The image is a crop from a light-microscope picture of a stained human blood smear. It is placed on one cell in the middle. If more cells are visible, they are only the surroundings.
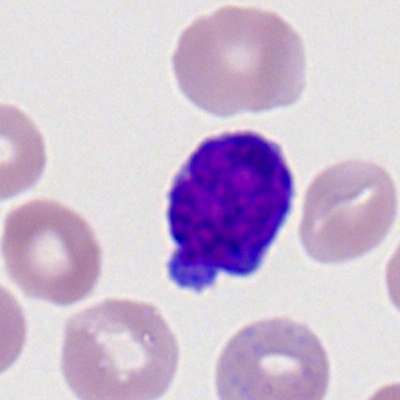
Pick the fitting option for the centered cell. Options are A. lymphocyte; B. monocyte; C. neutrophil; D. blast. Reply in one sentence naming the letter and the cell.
Option A holds up: the cell in the middle is a lymphocyte.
